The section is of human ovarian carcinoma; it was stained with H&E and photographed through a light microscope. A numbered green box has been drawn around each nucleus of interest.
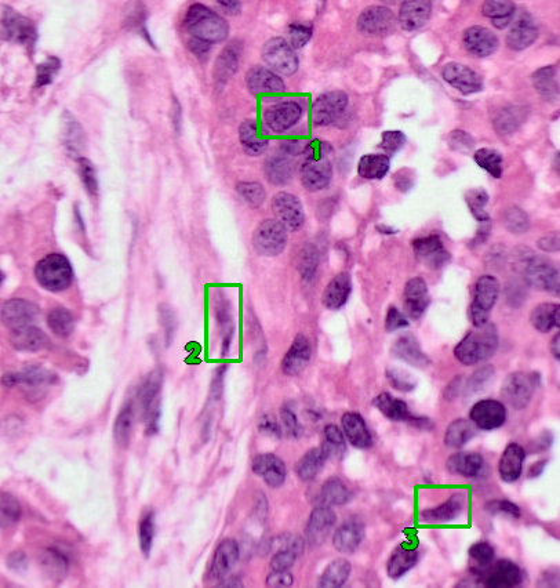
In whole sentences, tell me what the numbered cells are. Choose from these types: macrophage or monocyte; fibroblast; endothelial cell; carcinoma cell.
Cell 1 is a carcinoma cell, cell 2 is a fibroblast and cell 3 is a carcinoma cell.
